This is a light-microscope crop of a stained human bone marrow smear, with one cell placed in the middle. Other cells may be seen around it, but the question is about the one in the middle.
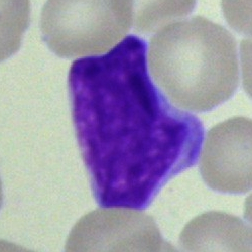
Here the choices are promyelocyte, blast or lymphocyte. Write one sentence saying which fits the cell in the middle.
The middle of this crop is occupied by a blast.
